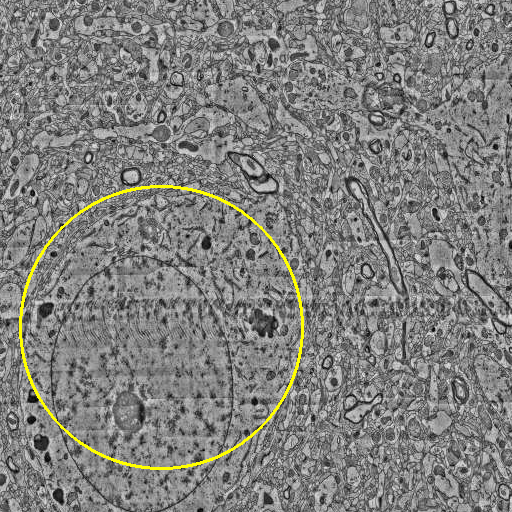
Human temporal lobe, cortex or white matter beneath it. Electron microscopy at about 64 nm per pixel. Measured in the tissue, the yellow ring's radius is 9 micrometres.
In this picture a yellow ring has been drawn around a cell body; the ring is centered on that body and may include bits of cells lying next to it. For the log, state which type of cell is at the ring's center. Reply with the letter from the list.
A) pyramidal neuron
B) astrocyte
A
